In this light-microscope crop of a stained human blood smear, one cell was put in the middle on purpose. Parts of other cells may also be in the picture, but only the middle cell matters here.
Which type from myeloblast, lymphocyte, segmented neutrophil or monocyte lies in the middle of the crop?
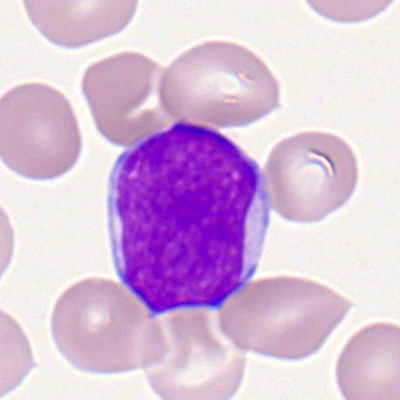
myeloblast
